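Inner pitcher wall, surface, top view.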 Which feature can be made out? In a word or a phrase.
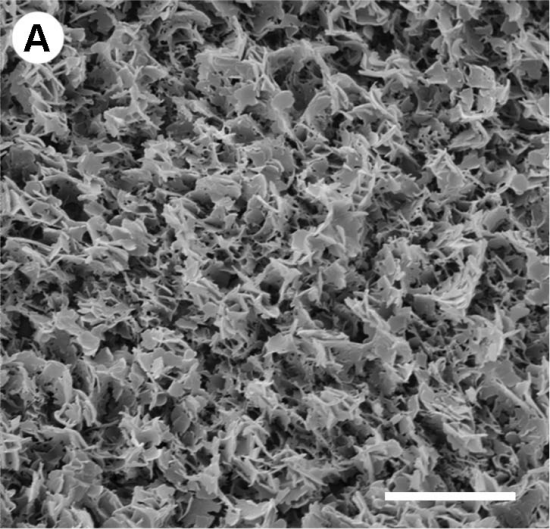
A: Wax platelets.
